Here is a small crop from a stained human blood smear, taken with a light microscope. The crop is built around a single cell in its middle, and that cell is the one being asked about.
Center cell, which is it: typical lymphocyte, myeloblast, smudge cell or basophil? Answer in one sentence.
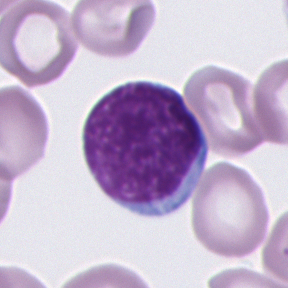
The identification for the central cell is a myeloblast.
